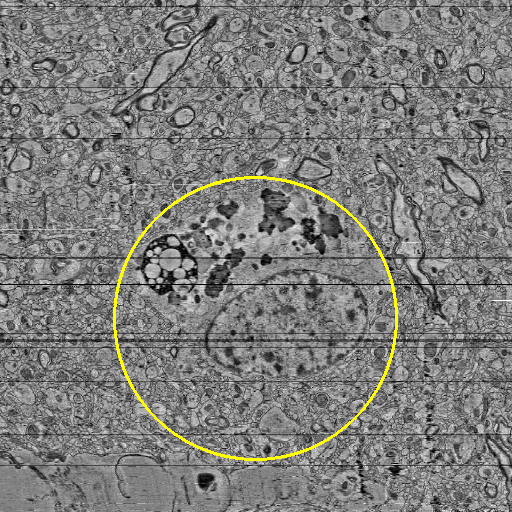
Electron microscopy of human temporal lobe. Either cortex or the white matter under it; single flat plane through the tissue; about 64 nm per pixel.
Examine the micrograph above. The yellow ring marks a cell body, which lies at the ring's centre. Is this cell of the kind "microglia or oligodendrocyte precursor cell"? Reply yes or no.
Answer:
no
